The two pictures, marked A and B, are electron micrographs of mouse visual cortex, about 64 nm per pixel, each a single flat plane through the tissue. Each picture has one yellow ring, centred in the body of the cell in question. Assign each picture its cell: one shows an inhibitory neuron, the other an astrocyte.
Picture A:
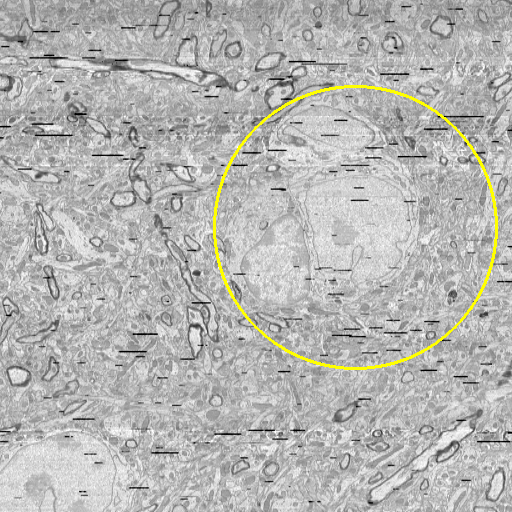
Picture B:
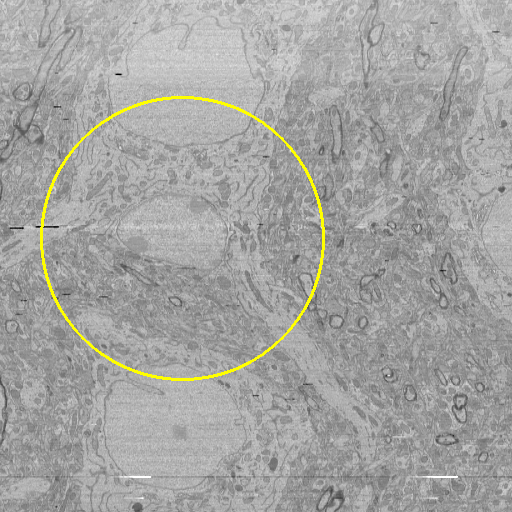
It is picture A that shows an inhibitory neuron, and picture B that shows an astrocyte.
